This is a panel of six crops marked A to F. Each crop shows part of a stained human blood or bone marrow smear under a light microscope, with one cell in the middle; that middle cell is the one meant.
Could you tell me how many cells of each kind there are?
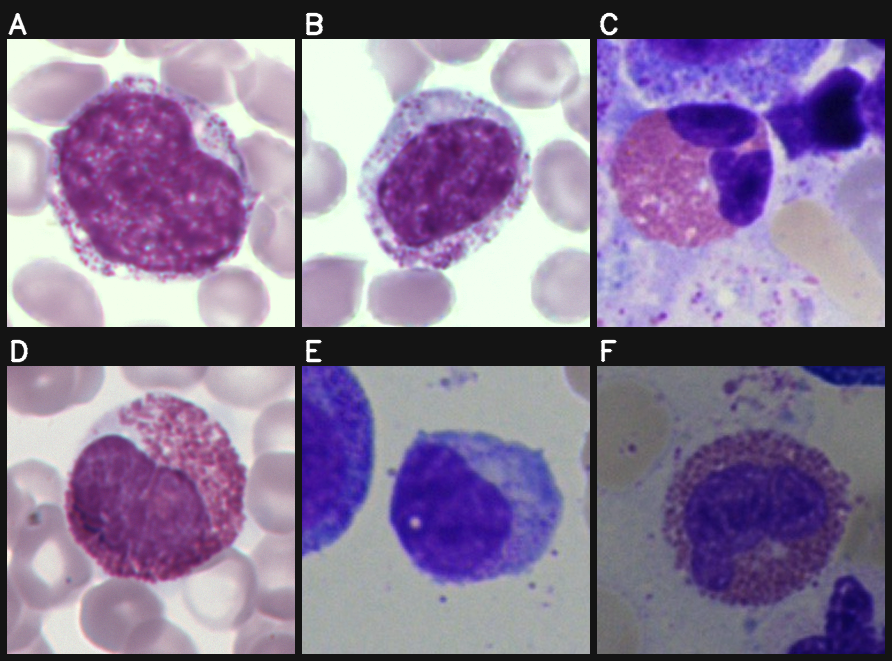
myelocyte: 3
eosinophil: 3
